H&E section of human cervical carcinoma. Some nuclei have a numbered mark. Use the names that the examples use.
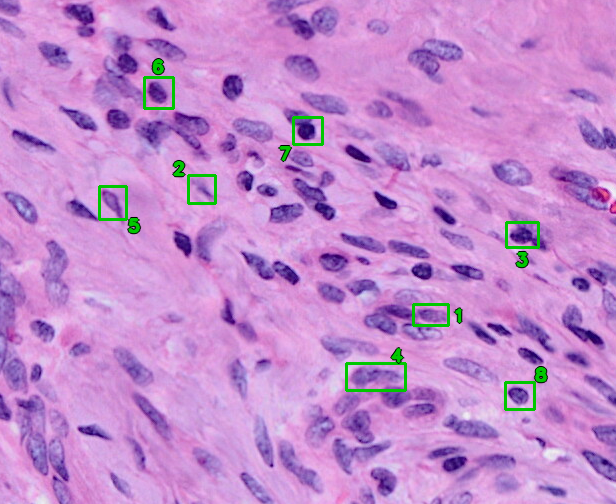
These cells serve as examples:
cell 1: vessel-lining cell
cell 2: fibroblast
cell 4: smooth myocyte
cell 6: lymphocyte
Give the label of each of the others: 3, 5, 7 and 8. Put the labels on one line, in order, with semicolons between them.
lymphocyte; fibroblast; lymphocyte; lymphocyte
